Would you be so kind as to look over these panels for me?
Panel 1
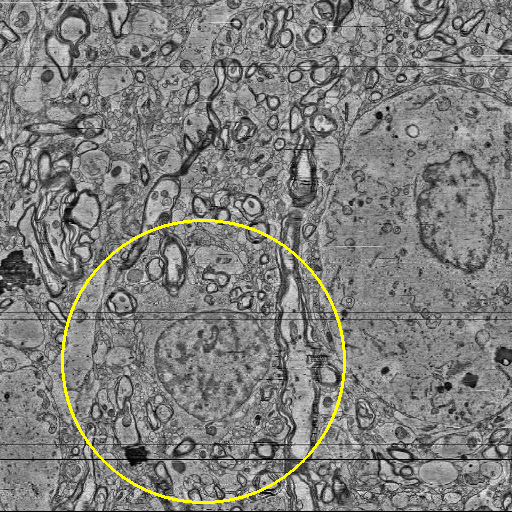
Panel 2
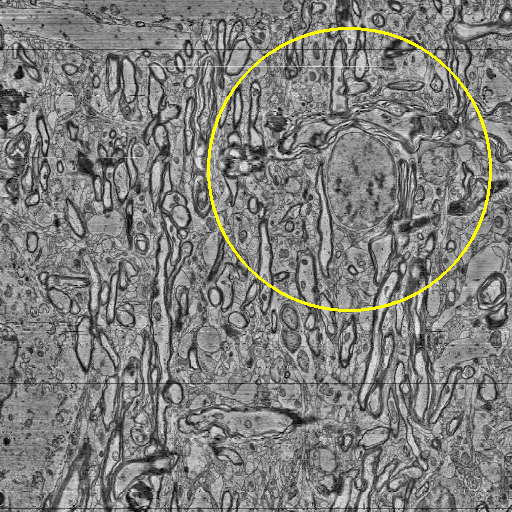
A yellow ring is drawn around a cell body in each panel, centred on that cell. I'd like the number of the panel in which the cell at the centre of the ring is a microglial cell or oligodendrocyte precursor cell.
2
